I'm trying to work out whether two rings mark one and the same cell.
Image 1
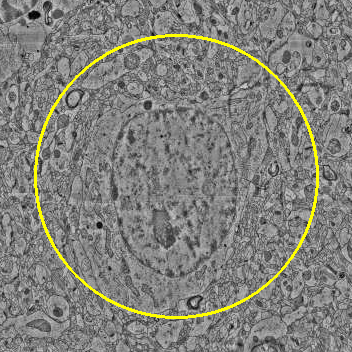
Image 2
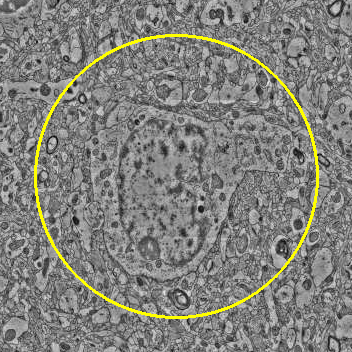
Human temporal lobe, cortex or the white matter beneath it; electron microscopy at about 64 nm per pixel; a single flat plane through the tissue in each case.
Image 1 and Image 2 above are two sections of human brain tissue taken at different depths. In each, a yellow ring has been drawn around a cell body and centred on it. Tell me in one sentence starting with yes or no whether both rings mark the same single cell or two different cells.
Yes, both circles in yellow pick out the same cell.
